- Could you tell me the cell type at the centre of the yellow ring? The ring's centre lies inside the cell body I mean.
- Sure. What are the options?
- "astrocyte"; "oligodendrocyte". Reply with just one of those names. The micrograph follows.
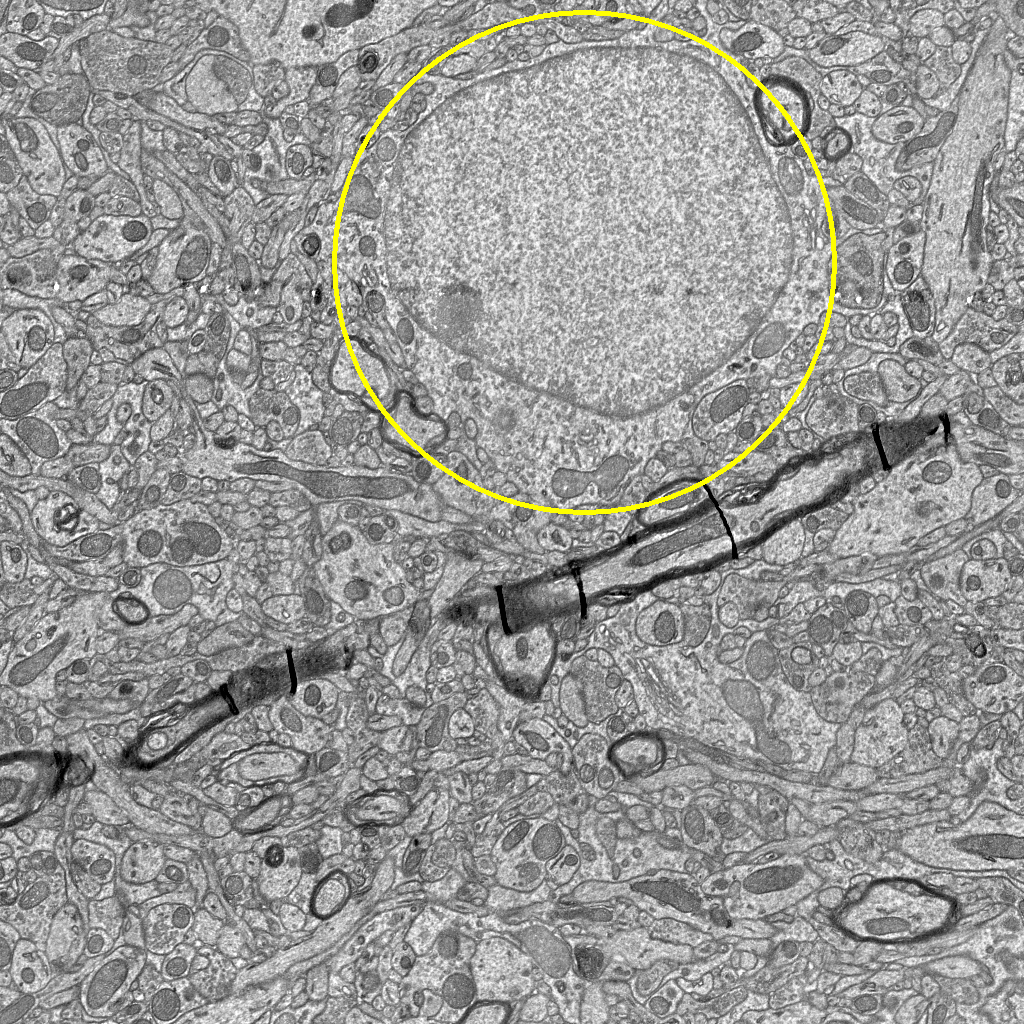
astrocyte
